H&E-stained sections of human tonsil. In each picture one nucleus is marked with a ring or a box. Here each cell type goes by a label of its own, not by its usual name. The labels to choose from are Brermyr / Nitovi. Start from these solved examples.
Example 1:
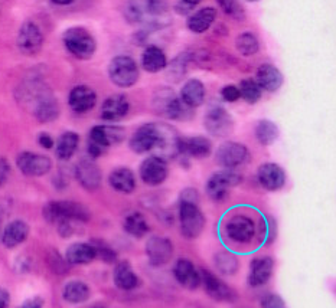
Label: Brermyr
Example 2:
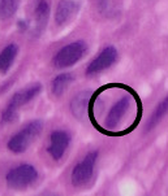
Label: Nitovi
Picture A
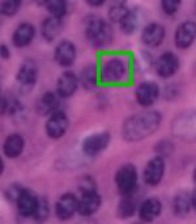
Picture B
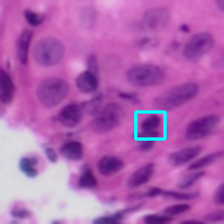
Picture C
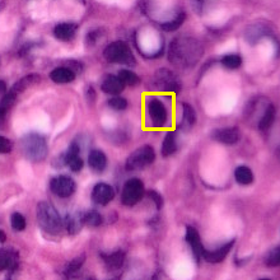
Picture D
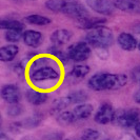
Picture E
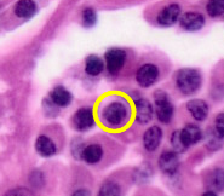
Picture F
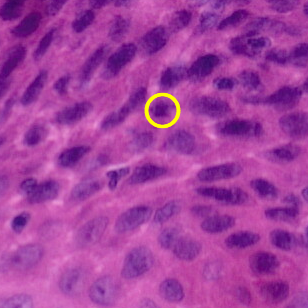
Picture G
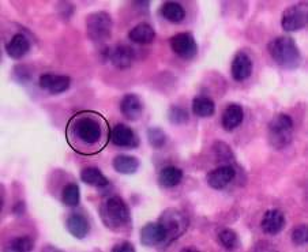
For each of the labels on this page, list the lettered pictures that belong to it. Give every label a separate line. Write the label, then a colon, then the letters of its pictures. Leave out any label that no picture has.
Brermyr: A, D, E, G
Nitovi: B, C, F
